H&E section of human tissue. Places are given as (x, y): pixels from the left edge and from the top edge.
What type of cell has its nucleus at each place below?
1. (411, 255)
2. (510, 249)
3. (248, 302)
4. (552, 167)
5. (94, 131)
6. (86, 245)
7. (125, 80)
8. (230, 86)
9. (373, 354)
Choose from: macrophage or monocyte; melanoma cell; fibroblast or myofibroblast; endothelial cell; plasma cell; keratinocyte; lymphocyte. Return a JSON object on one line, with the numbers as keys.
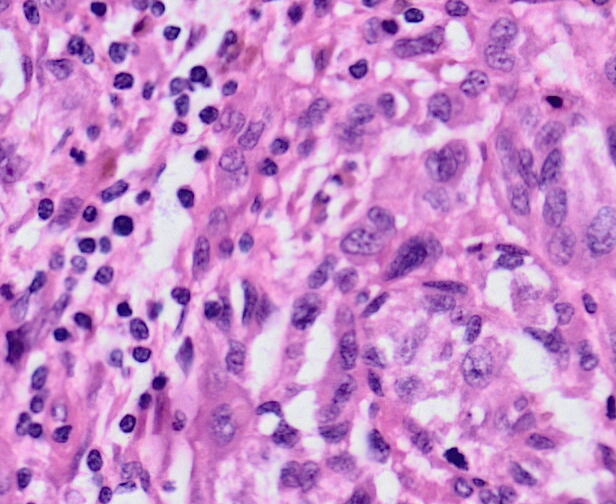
{"1": "melanoma cell", "2": "melanoma cell", "3": "melanoma cell", "4": "melanoma cell", "5": "lymphocyte", "6": "lymphocyte", "7": "lymphocyte", "8": "lymphocyte", "9": "melanoma cell"}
